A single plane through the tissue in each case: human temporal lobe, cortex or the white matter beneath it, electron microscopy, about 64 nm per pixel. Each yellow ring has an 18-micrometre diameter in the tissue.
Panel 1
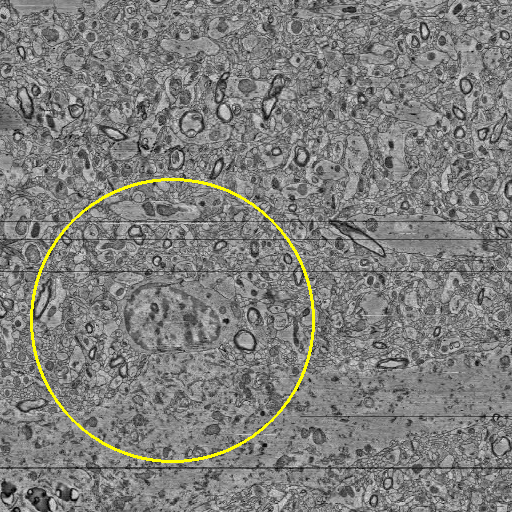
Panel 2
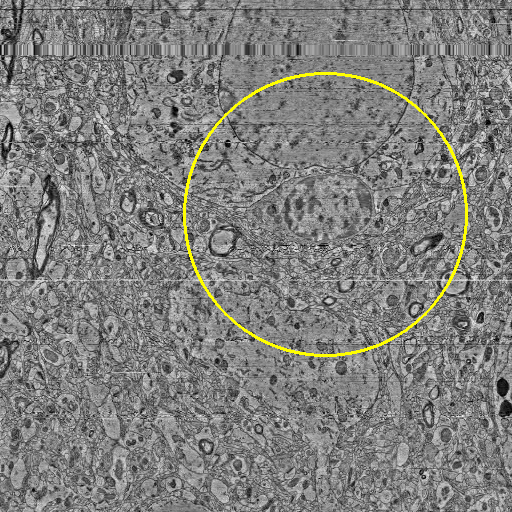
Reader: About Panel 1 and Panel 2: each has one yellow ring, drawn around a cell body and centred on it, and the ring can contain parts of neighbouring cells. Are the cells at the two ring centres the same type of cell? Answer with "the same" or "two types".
the same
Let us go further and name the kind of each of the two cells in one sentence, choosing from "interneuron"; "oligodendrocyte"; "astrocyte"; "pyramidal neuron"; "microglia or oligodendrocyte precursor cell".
The first and the second cell are each an oligodendrocyte.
